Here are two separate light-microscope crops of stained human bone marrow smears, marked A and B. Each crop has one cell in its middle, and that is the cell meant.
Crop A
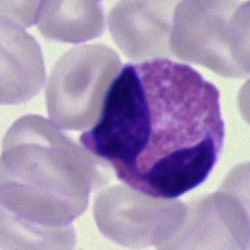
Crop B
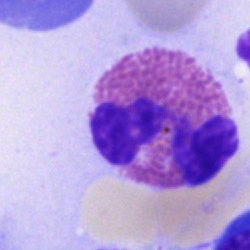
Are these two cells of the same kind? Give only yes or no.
yes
